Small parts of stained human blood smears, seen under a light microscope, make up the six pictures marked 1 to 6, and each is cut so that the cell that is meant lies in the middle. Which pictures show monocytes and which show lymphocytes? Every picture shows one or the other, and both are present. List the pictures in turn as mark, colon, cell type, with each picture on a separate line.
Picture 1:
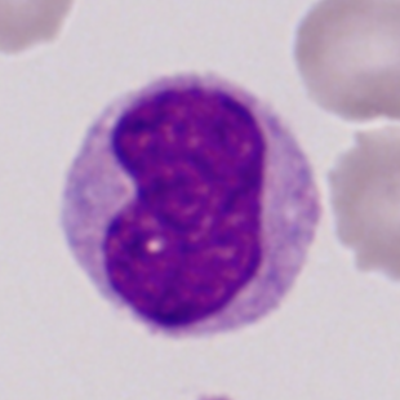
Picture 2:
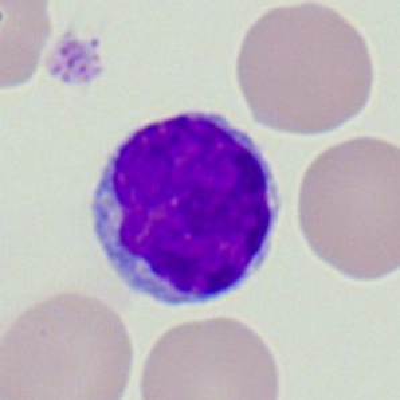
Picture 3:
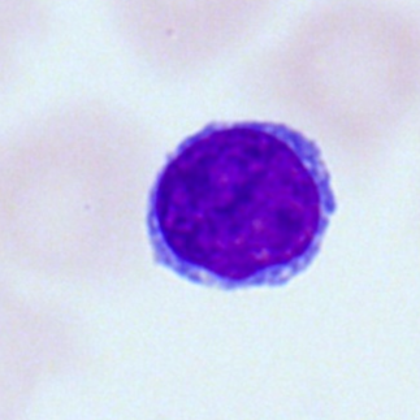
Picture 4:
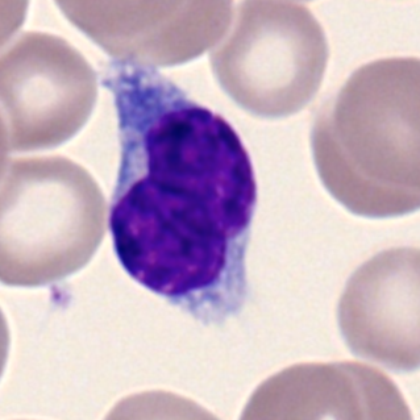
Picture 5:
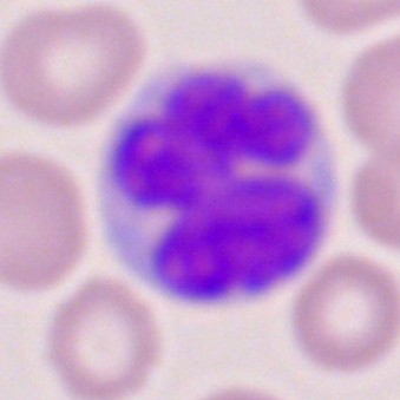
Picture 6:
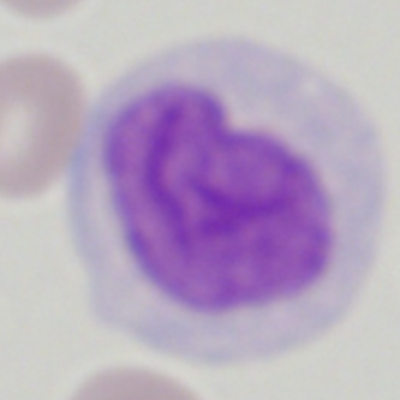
1: monocyte
2: lymphocyte
3: lymphocyte
4: lymphocyte
5: monocyte
6: monocyte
